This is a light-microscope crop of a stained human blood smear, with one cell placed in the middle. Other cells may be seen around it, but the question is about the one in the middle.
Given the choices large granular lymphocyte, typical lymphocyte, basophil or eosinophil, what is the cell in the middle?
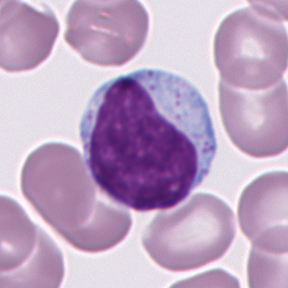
large granular lymphocyte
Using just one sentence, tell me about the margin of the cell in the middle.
In short, the margin is smooth with no projections at all.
